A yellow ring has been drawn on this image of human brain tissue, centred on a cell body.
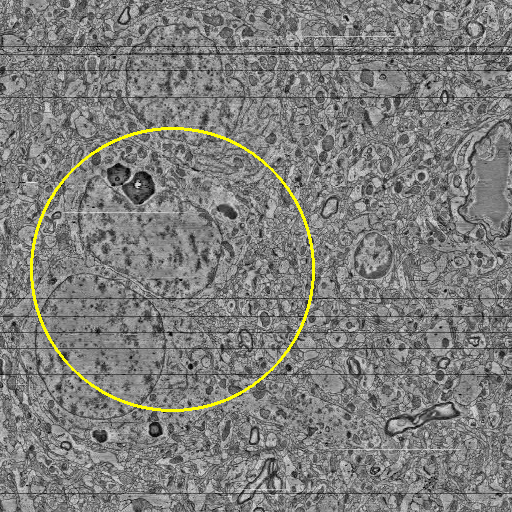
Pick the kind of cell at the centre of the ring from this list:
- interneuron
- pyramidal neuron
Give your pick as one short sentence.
The centre of the ring holds an interneuron.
